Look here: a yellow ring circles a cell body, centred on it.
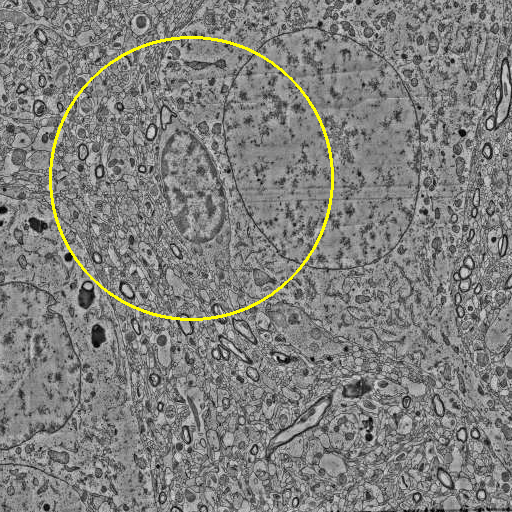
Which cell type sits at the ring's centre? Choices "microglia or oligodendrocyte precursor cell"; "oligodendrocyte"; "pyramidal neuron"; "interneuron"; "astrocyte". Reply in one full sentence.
The cell at the centre of the yellow ring in the picture is an oligodendrocyte.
